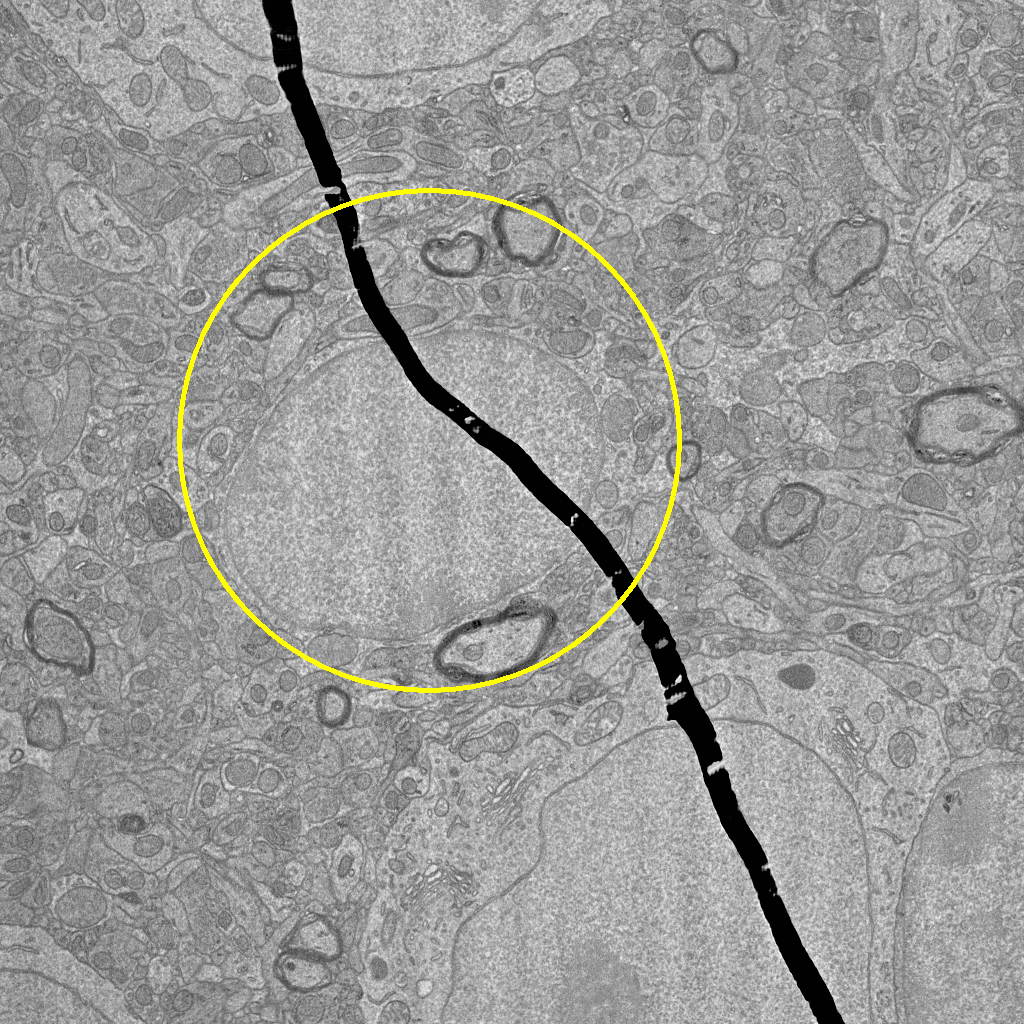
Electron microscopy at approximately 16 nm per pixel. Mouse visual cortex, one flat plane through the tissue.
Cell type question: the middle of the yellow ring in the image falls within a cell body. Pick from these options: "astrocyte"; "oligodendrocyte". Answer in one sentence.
The cell body at the center of the ring belongs to an astrocyte.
